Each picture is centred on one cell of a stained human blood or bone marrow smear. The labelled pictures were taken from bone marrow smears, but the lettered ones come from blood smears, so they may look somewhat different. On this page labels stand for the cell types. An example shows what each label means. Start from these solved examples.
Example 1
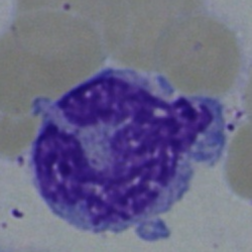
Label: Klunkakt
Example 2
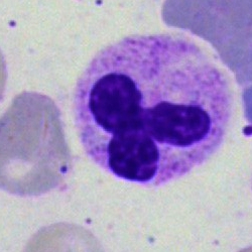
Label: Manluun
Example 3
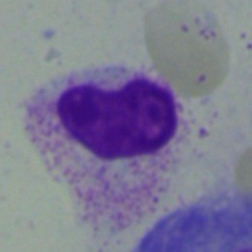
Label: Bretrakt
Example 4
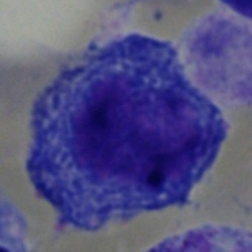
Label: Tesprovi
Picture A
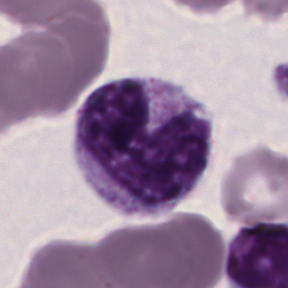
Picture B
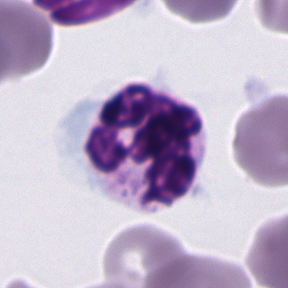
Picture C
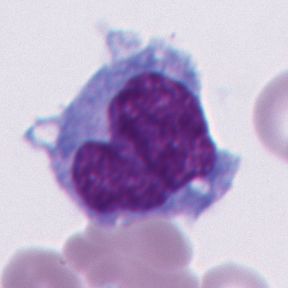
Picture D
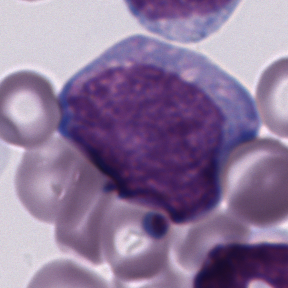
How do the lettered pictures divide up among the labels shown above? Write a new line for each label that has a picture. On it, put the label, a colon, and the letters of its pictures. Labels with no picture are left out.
Klunkakt: C
Manluun: B
Bretrakt: A
Tesprovi: D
